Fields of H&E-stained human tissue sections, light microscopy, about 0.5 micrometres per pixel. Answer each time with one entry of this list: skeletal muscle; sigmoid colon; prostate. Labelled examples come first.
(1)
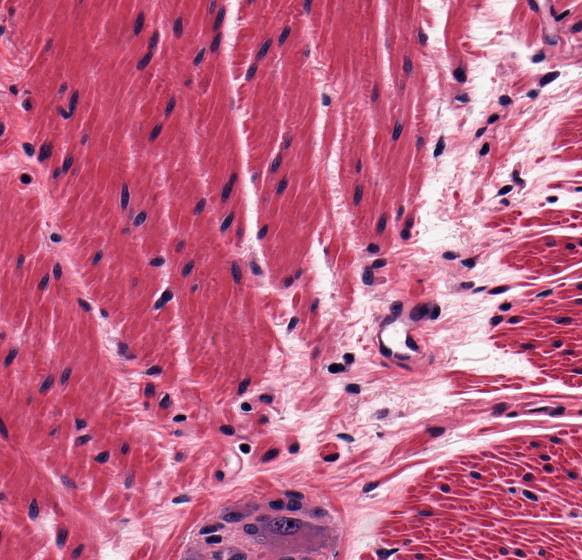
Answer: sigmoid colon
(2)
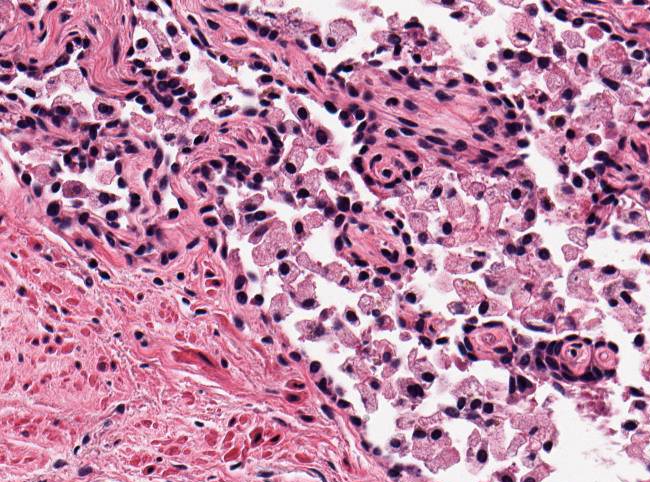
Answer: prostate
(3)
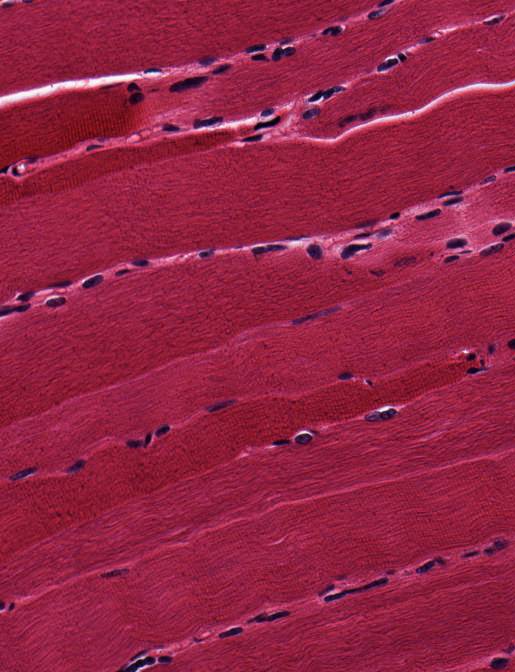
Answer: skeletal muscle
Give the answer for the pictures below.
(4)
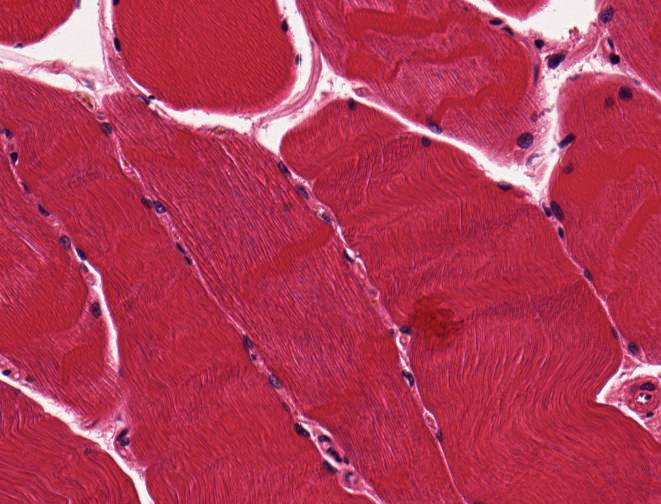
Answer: skeletal muscle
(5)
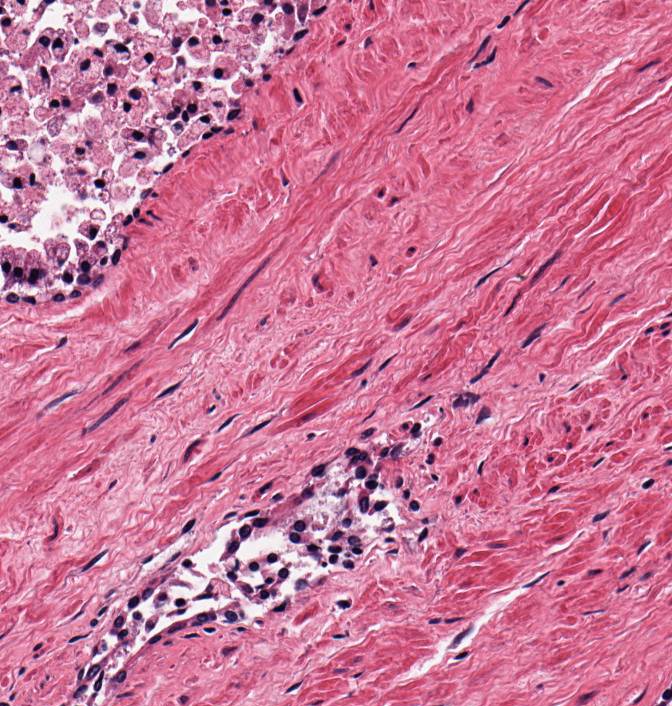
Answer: prostate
